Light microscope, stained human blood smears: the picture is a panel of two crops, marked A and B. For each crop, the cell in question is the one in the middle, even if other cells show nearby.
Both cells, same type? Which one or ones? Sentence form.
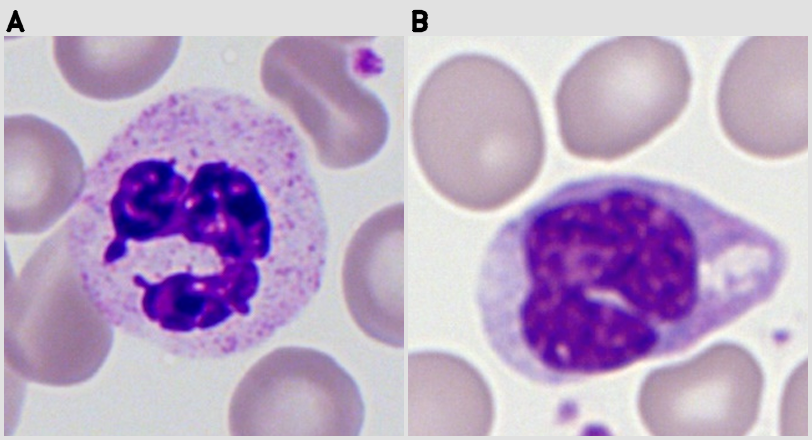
No, the cells are a neutrophil in crop A and a monocyte in crop B.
